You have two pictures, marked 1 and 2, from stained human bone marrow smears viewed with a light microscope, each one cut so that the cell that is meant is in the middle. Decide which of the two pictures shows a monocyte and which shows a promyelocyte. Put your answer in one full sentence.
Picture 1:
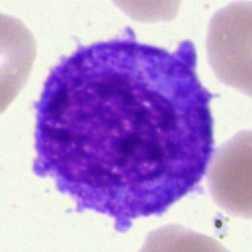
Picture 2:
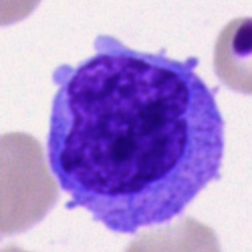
The cell in picture 1 is a promyelocyte, and the one in picture 2 is a monocyte.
